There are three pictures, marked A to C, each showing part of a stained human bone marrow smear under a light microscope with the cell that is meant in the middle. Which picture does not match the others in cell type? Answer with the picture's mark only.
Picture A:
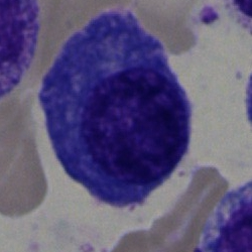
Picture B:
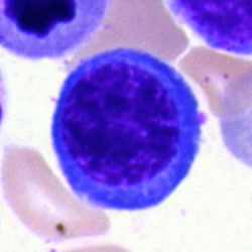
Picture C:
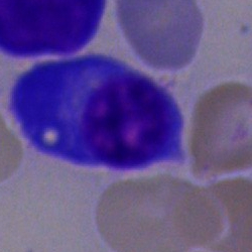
B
